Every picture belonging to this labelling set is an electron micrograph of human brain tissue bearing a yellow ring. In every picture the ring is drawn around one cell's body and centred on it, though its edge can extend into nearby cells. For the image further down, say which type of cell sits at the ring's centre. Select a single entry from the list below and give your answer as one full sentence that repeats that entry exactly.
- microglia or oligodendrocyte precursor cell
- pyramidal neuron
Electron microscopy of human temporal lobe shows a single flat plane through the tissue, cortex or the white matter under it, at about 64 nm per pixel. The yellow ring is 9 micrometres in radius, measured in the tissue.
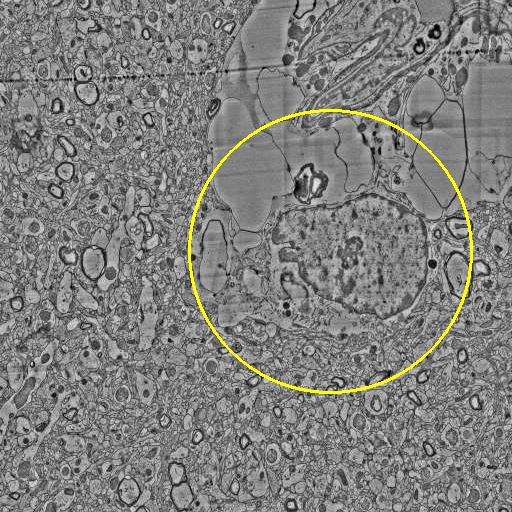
In the picture, a microglial cell or oligodendrocyte precursor cell is the cell at the centre of the yellow ring.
